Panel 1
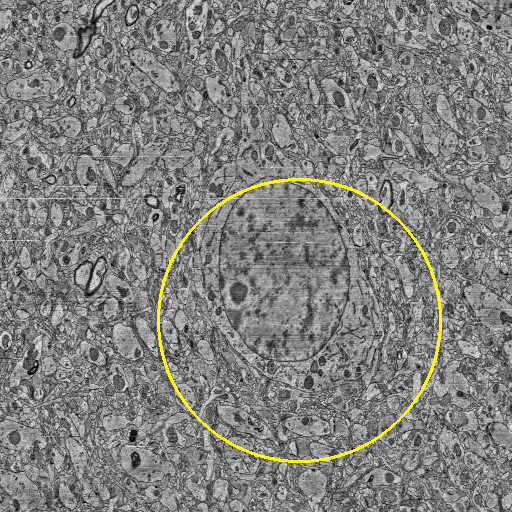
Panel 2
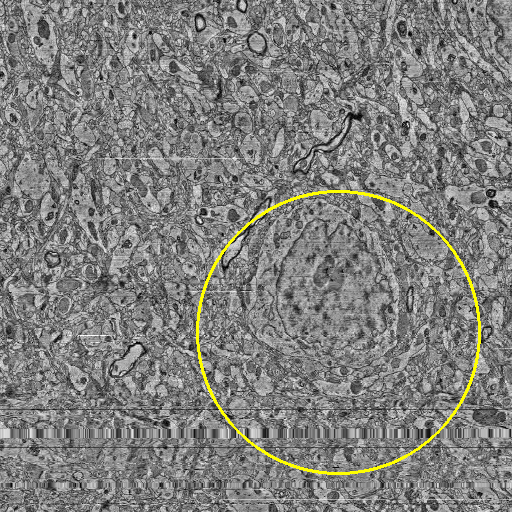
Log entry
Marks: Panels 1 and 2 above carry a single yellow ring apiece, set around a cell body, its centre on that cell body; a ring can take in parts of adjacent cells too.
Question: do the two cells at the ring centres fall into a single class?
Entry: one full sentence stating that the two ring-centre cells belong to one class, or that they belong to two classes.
The two ring-centre cells in Panels 1 and 2 belong to two classes.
